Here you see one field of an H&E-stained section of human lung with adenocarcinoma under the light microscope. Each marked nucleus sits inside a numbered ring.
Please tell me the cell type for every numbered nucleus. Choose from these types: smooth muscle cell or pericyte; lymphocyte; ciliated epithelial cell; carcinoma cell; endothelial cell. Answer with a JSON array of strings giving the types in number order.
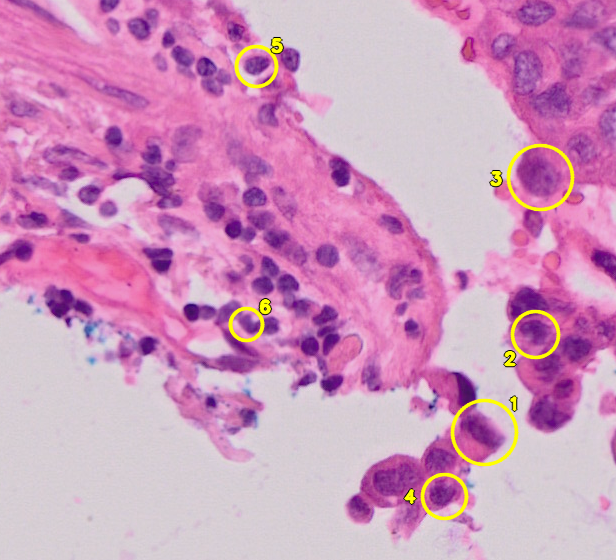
["carcinoma cell", "carcinoma cell", "carcinoma cell", "carcinoma cell", "lymphocyte", "lymphocyte"]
